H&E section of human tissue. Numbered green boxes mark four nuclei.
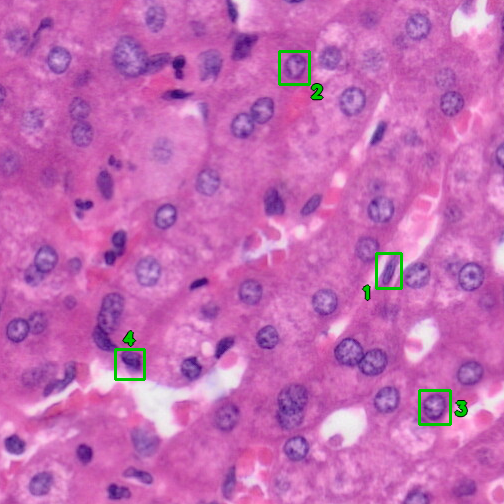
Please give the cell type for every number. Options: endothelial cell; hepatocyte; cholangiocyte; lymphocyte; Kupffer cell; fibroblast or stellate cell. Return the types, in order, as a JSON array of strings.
["Kupffer cell", "hepatocyte", "hepatocyte", "fibroblast or stellate cell"]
